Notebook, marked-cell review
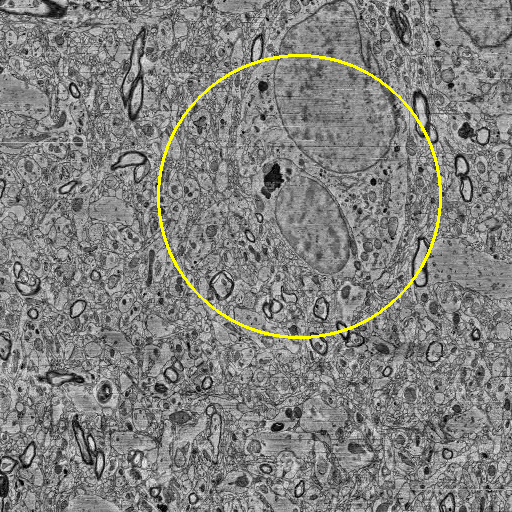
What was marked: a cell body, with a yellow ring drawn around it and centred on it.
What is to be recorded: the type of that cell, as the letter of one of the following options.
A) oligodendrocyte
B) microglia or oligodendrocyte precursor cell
A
